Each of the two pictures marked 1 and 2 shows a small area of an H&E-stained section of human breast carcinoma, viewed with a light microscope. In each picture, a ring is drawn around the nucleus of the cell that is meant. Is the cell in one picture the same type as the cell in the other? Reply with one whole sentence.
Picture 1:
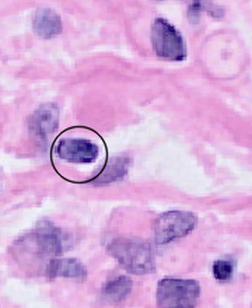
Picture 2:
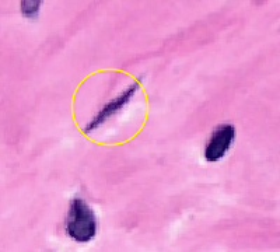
No, picture 1 shows a lymphocyte and picture 2 shows a fibroblast.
